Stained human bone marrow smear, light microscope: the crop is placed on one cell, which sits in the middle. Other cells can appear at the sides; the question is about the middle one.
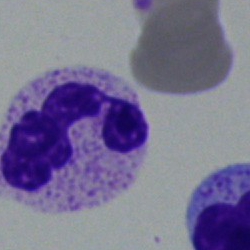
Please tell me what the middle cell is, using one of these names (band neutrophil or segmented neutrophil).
segmented neutrophil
